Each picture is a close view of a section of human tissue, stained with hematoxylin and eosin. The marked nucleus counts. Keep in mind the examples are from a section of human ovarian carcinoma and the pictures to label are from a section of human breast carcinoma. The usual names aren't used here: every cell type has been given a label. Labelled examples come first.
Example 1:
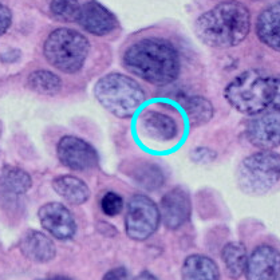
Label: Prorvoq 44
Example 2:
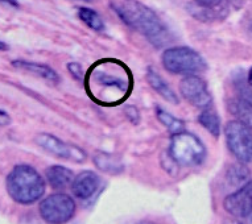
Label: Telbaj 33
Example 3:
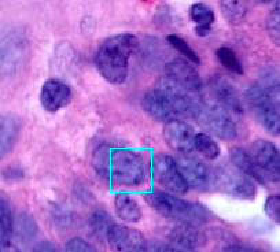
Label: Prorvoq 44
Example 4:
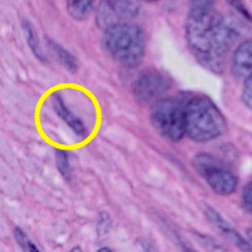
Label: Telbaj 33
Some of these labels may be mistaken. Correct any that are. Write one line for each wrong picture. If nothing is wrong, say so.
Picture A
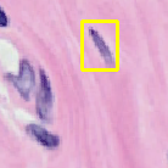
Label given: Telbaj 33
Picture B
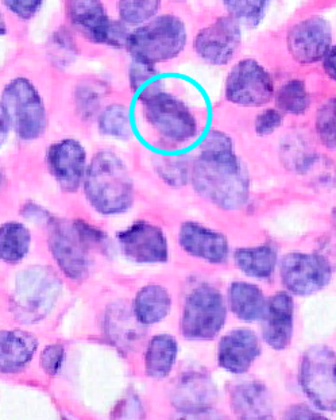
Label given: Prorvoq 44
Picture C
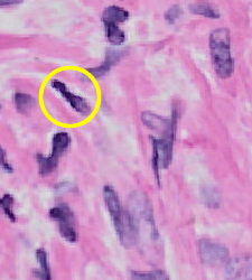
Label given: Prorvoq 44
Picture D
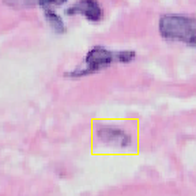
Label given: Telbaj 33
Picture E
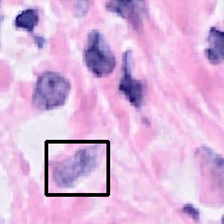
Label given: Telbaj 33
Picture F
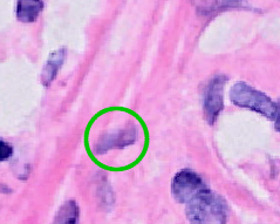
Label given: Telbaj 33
C: Telbaj 33, not Prorvoq 44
